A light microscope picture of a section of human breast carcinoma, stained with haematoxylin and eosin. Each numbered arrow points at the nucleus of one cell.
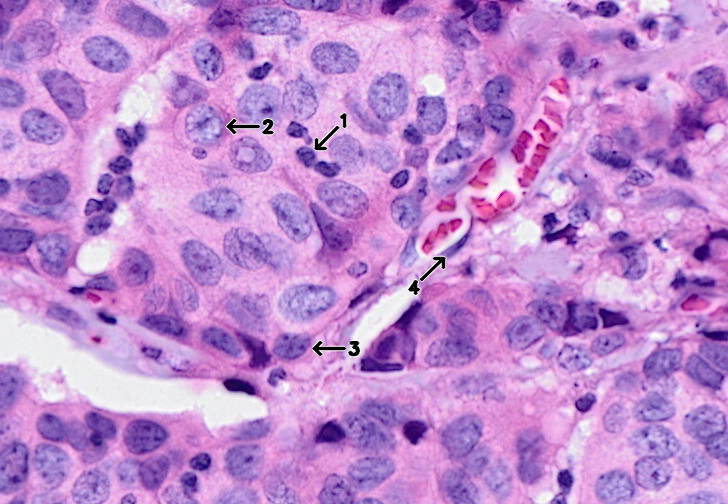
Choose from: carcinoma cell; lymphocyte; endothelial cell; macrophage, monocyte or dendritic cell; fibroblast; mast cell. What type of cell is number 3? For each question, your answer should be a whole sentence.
The cell numbered 3 has been identified as a carcinoma cell.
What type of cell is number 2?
Regarding cell 2, this one is a carcinoma cell.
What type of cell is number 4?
The cell with the number 4 is an endothelial cell.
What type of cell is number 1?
Cell 1 of the marked set is a lymphocyte.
